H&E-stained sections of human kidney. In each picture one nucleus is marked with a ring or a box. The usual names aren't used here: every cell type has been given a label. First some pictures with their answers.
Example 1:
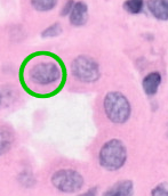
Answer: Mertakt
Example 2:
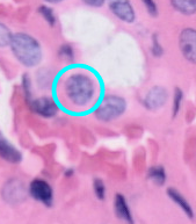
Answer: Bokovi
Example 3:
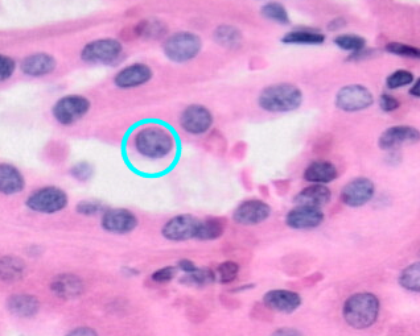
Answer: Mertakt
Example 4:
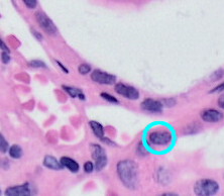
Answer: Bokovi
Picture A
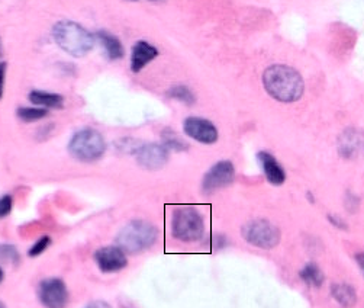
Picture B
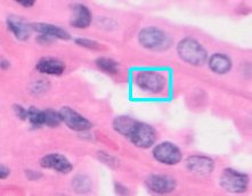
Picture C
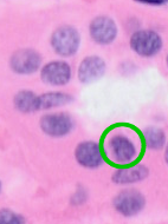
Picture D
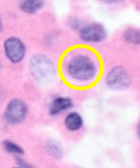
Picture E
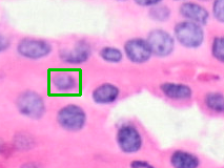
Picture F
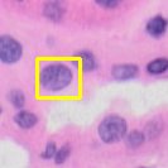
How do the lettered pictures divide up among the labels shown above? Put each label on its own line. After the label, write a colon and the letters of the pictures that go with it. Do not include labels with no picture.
Mertakt: A, B, D, E
Bokovi: C, F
